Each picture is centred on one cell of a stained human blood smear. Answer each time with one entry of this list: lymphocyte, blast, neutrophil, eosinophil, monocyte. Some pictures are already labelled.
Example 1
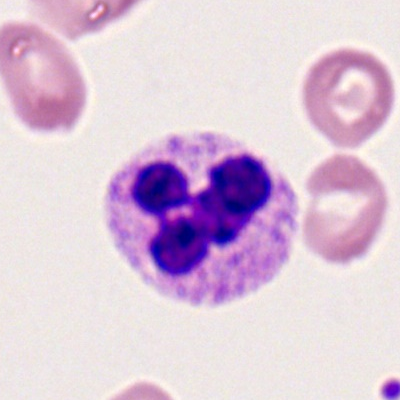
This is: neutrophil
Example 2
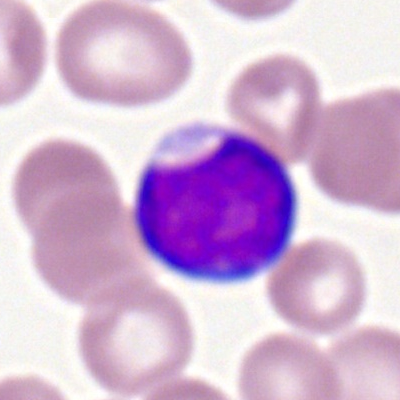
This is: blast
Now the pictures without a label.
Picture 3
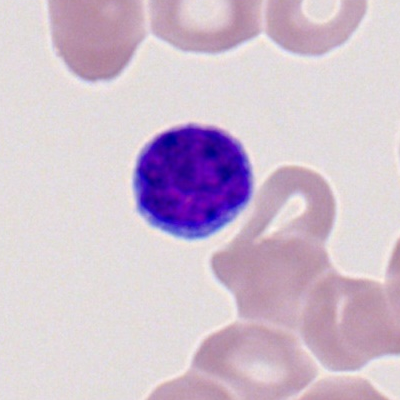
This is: lymphocyte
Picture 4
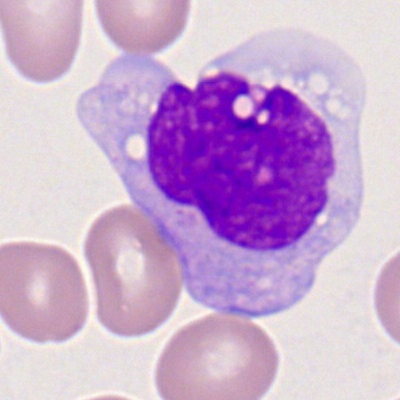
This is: monocyte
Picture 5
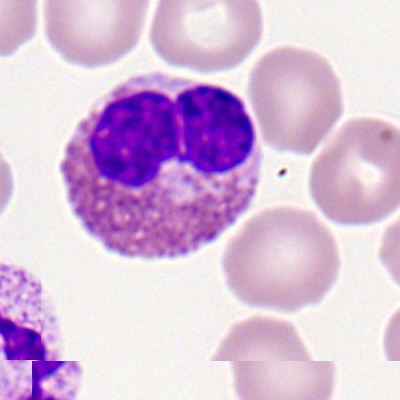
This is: eosinophil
